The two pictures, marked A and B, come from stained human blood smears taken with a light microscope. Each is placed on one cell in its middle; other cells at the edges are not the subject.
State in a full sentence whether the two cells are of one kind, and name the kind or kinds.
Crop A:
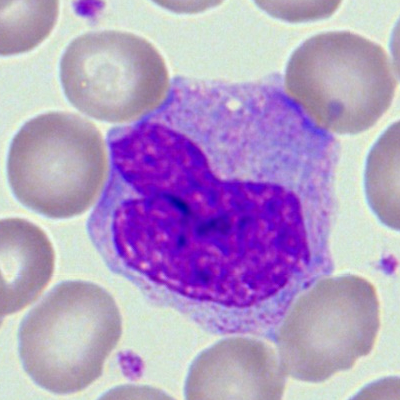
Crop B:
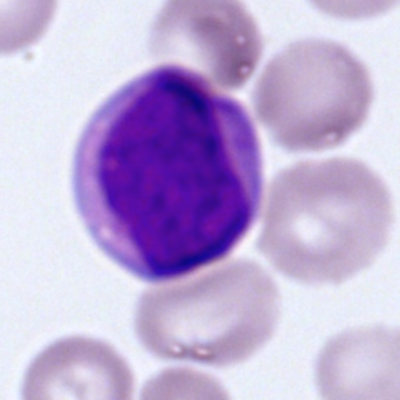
No, a monocyte and a myeloblast are found in crop A and crop B, respectively.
